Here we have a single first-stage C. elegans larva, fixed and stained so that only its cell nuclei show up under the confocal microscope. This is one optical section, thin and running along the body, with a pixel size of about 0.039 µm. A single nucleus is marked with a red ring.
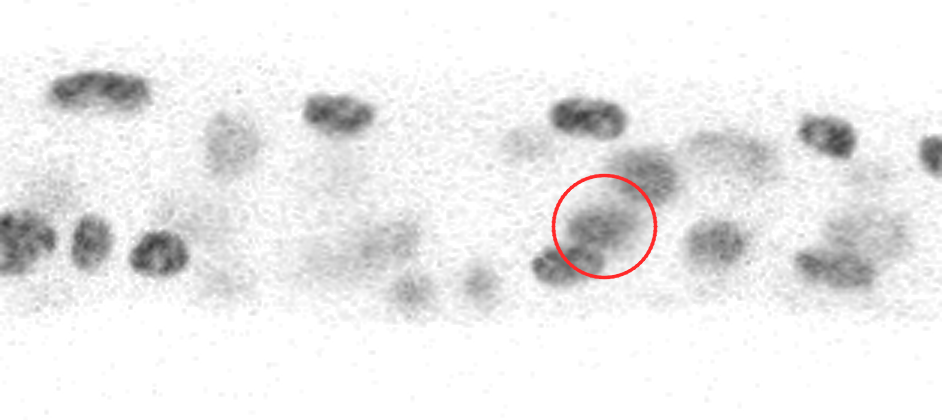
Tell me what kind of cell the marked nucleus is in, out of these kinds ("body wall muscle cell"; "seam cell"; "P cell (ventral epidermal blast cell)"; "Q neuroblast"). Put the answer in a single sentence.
This is the nucleus of a seam cell.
